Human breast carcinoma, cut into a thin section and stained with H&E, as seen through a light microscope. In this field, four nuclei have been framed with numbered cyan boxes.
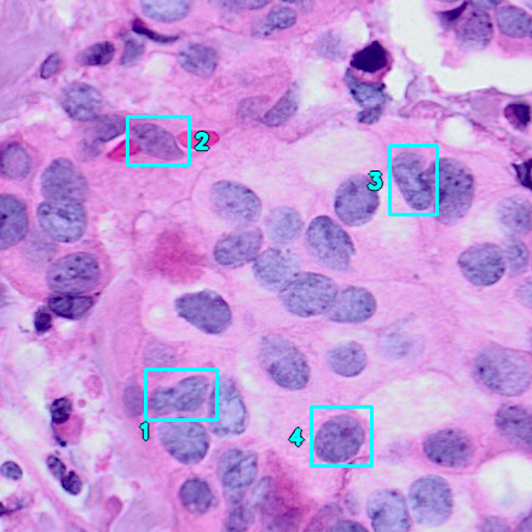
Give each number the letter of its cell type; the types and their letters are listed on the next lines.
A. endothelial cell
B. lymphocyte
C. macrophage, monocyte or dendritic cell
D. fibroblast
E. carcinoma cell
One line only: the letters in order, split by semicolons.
E; A; E; E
